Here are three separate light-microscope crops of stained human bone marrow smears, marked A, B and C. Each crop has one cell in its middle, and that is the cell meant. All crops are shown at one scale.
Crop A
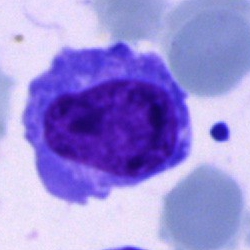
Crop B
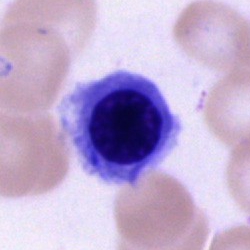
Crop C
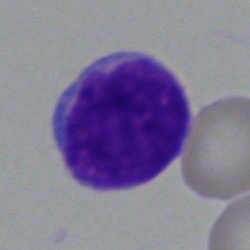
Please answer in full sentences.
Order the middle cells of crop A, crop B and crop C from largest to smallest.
Largest first: A, C, B.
